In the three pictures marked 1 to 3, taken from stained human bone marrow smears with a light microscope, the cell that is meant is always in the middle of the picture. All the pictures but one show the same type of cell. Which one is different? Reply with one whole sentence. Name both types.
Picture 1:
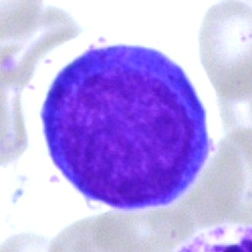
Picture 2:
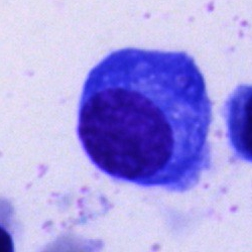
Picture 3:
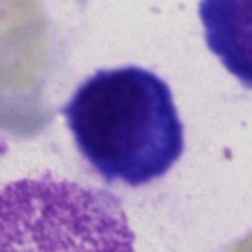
The others show plasma cells, but picture 1 shows a proerythroblast.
